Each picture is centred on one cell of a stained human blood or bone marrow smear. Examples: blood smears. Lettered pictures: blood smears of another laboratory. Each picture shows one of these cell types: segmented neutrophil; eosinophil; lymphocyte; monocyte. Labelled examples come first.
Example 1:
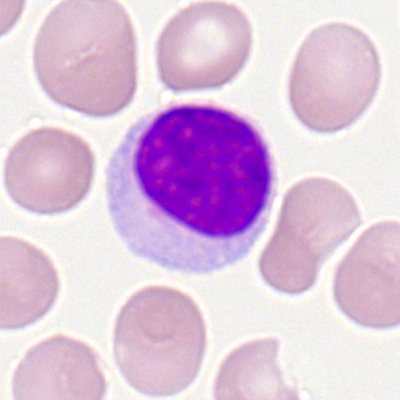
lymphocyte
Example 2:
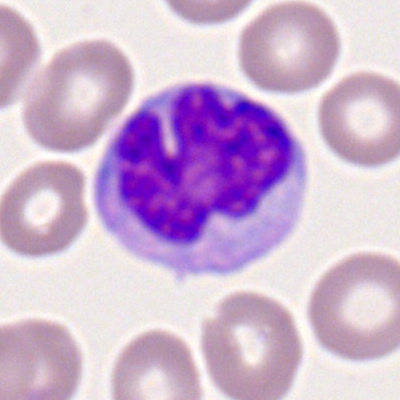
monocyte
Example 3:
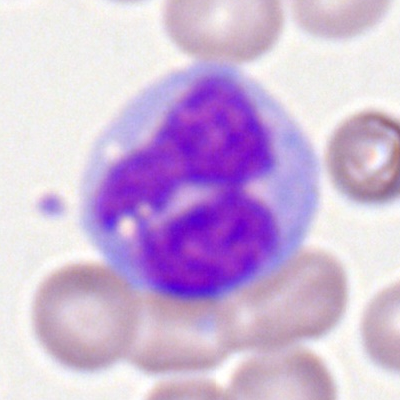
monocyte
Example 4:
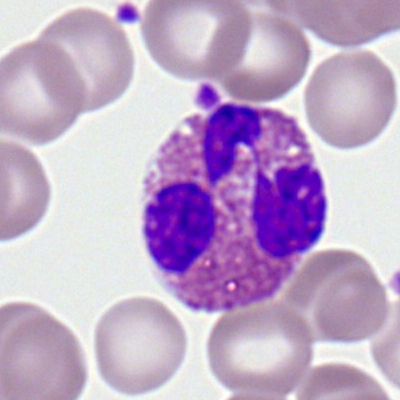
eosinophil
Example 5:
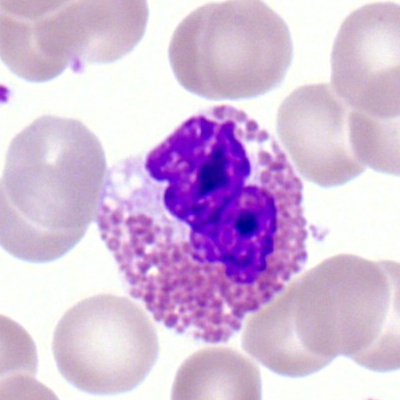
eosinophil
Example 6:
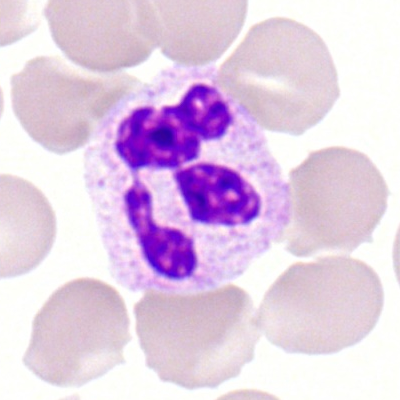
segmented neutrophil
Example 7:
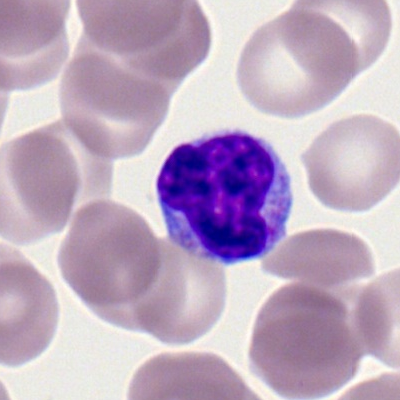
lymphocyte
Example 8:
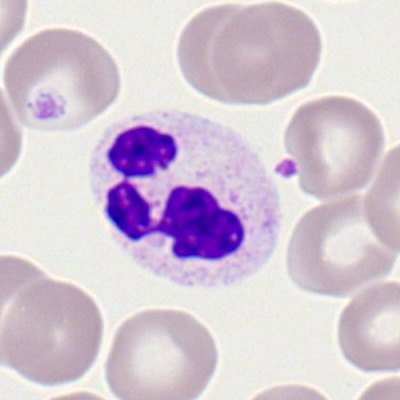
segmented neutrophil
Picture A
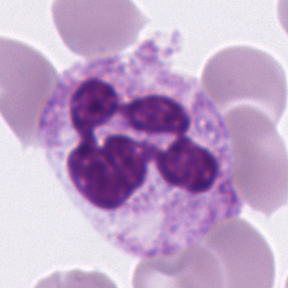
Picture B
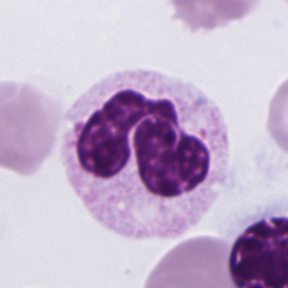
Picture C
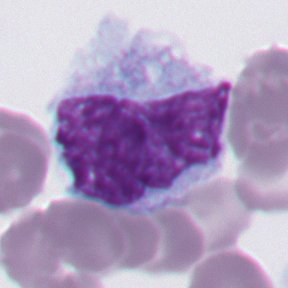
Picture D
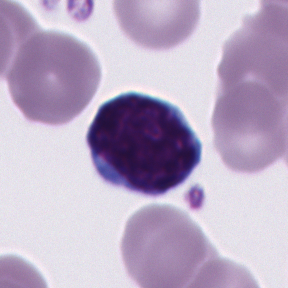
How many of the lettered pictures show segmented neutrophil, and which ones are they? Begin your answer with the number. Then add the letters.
2, namely A, B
